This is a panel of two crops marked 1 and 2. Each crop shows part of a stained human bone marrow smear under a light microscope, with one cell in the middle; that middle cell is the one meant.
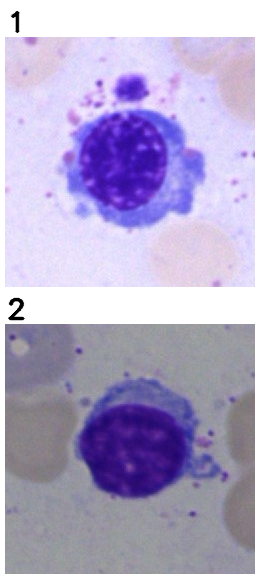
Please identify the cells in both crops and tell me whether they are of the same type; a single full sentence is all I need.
No, crop 1 is home to a normoblast, and crop 2 to a lymphocyte.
